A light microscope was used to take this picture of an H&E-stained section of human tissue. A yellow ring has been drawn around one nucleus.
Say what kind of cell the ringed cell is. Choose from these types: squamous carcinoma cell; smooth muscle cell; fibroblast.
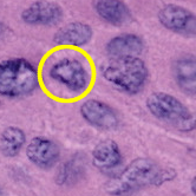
squamous carcinoma cell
